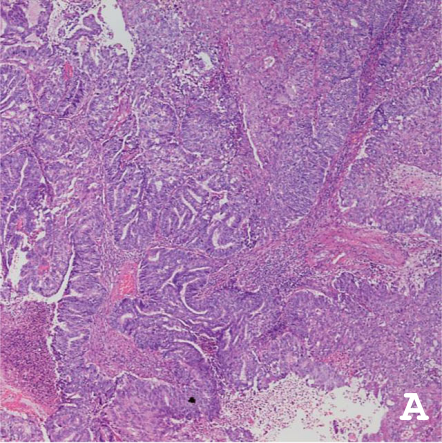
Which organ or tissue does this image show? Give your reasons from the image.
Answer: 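Endometrioid carcinoma. Crowded back-to-back glands and solid tumour areas. Bands of pink fibrous stroma between tumour nests.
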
